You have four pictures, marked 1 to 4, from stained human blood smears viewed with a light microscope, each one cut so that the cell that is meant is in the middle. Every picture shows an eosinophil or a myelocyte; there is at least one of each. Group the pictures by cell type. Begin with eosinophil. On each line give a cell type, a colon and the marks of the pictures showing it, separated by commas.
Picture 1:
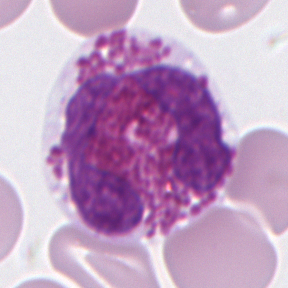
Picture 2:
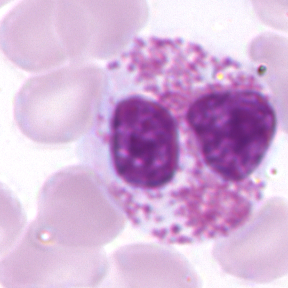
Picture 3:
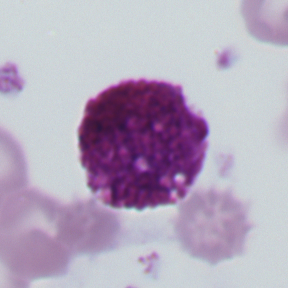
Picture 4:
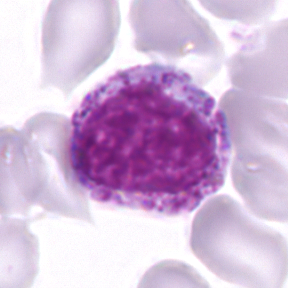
eosinophil: 1, 2, 3
myelocyte: 4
